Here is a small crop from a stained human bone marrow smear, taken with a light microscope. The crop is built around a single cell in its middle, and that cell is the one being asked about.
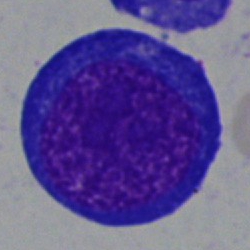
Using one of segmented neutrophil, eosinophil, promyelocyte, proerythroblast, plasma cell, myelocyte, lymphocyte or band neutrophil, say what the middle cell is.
proerythroblast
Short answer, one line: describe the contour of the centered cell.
Happy to help: the outline is smooth and shows no projections.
